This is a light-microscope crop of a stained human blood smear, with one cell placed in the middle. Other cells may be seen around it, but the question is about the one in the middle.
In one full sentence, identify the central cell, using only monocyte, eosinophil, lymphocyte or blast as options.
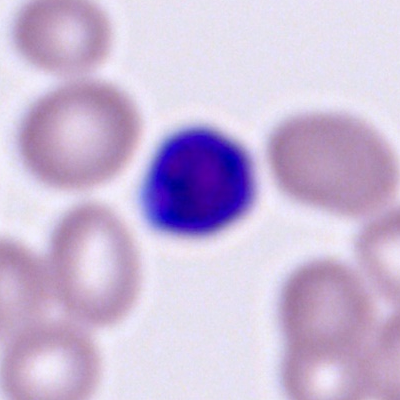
Within this crop, a lymphocyte occupies the central position.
